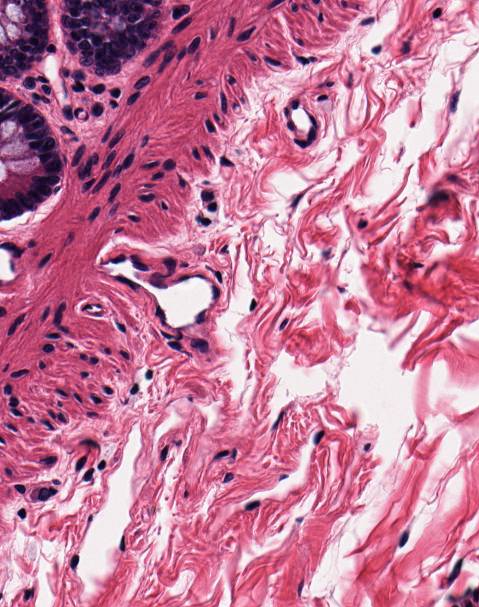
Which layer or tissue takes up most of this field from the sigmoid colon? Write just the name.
loose connective tissue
